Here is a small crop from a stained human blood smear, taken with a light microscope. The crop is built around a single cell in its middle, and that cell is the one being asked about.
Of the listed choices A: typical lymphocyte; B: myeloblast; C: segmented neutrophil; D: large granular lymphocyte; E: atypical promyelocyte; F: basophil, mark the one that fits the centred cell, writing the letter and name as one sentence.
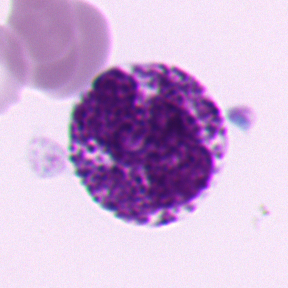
The cell at the centre is a basophil, and option F accordingly is correct.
